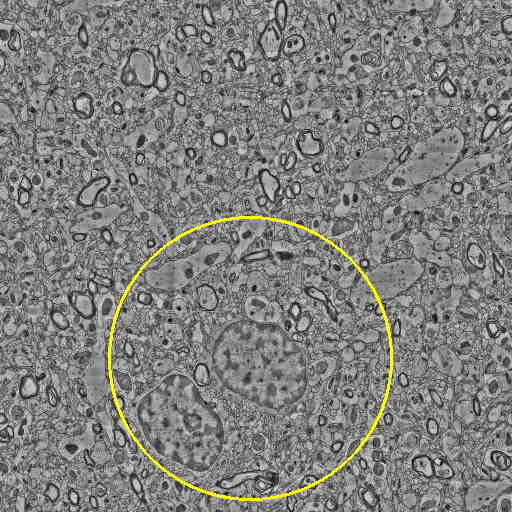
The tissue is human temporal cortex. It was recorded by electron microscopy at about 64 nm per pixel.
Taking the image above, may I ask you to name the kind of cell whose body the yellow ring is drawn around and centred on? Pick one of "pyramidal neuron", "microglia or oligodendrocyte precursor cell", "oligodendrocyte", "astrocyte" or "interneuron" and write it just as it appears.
oligodendrocyte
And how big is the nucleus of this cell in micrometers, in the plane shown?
About 6 by 5 micrometers, in this plane.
